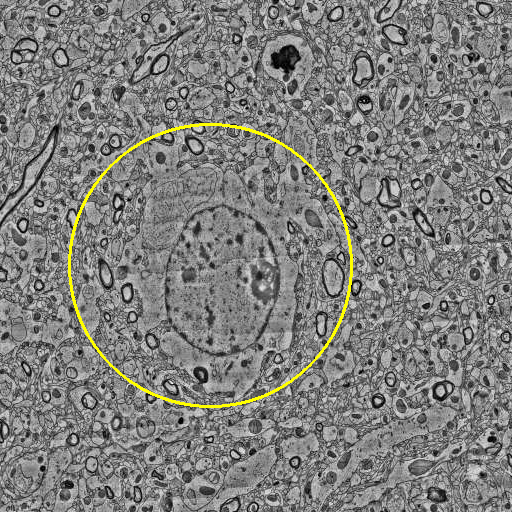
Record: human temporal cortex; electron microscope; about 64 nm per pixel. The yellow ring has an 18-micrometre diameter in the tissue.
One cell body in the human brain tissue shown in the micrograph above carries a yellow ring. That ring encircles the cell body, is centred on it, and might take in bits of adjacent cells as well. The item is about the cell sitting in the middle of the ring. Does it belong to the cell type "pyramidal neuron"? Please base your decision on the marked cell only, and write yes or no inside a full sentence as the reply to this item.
No, the cell in the centre of the yellow ring belongs to a different kind.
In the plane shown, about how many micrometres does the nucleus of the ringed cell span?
Roughly 10 by 7 micrometres in this plane, for the nucleus of the ringed cell.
